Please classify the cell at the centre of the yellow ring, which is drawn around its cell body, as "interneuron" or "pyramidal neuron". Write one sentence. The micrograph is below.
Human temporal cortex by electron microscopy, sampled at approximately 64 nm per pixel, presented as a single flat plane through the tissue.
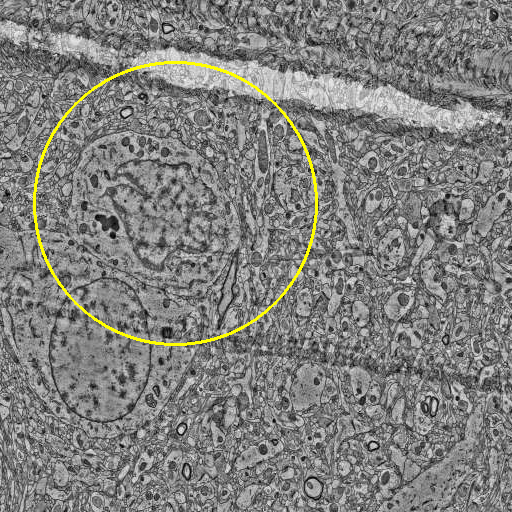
The cell at the ring's centre is classified as an interneuron.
